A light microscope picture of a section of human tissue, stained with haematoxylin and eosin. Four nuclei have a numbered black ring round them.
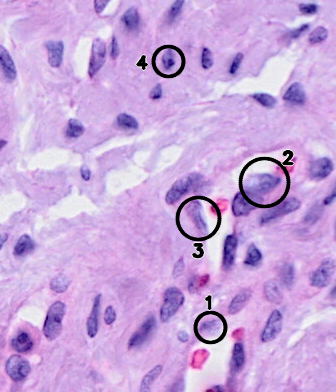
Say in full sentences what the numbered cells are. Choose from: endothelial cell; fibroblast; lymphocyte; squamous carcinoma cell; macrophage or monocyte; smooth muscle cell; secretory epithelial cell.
Cell 1 is an endothelial cell, cell 2 is an endothelial cell, cell 3 is an endothelial cell and cell 4 is a fibroblast.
